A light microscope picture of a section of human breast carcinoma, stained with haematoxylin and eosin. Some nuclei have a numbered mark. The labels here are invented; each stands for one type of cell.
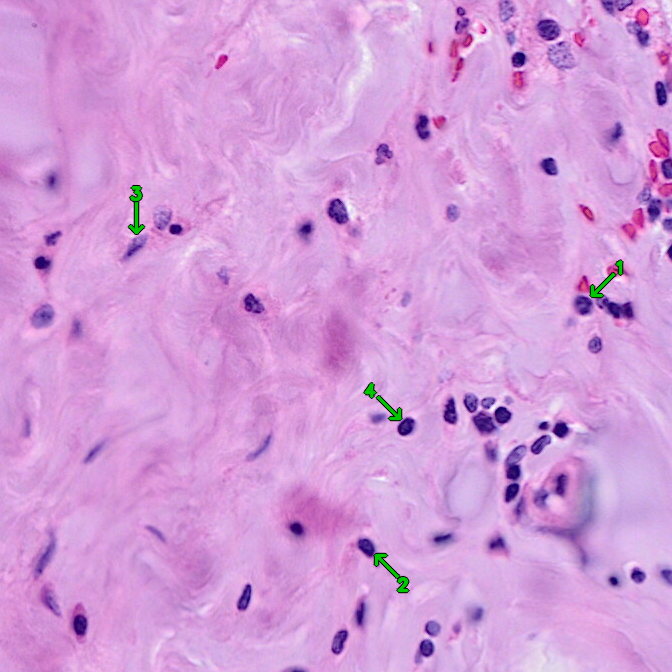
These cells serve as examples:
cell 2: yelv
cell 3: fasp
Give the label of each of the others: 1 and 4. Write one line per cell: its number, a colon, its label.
1: yelv
4: yelv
